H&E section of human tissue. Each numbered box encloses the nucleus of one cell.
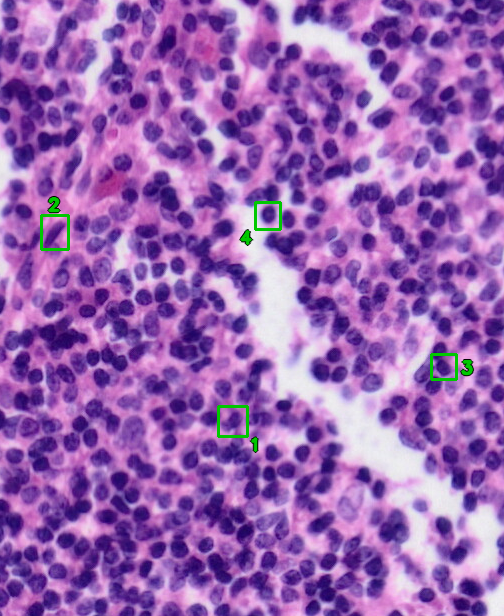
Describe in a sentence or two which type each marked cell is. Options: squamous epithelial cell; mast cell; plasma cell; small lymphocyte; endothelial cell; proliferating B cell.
Cells 1, 3 and 4 are small lymphocytes. Cell 2 is an endothelial cell.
